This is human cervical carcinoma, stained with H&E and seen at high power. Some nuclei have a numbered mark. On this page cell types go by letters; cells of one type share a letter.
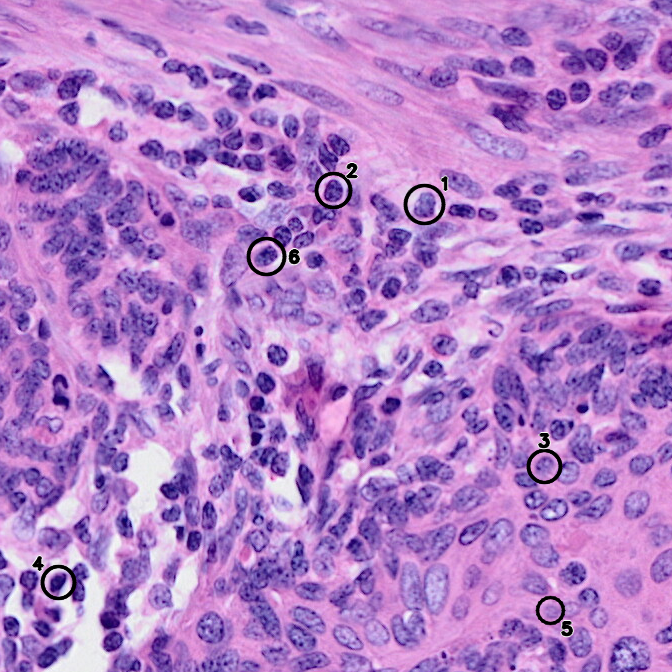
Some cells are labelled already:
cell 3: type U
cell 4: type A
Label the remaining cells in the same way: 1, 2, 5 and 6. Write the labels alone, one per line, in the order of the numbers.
type A
type A
type U
type A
